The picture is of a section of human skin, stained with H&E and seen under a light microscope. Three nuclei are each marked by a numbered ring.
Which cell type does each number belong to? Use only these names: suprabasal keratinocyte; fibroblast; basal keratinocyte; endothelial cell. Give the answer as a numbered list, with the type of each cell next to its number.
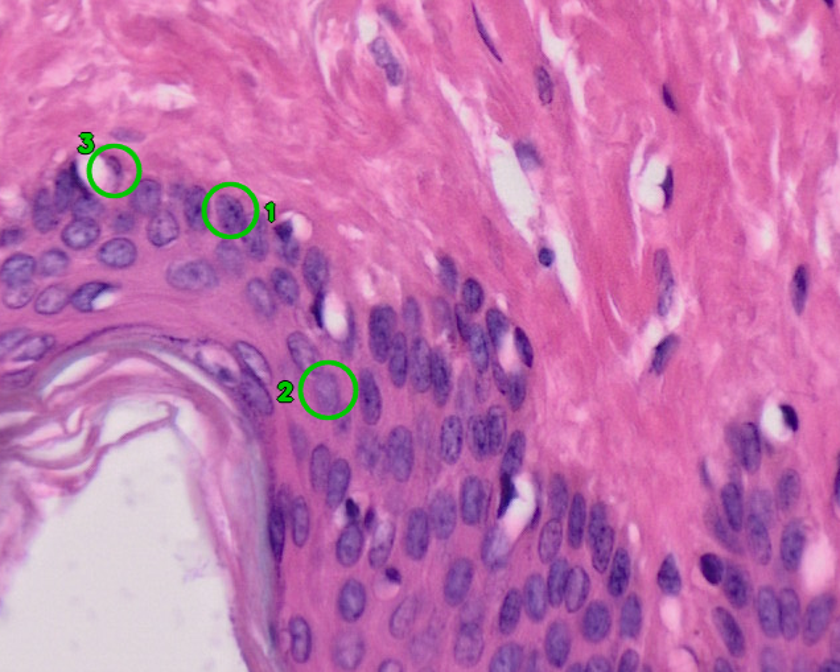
1. basal keratinocyte
2. suprabasal keratinocyte
3. basal keratinocyte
